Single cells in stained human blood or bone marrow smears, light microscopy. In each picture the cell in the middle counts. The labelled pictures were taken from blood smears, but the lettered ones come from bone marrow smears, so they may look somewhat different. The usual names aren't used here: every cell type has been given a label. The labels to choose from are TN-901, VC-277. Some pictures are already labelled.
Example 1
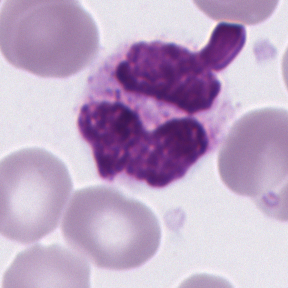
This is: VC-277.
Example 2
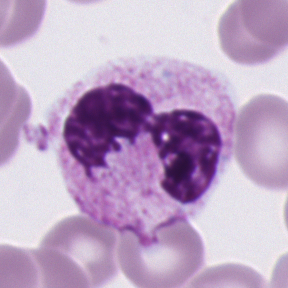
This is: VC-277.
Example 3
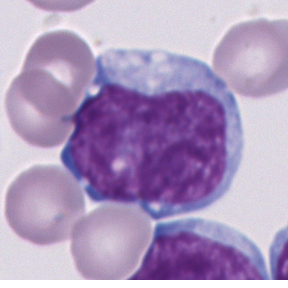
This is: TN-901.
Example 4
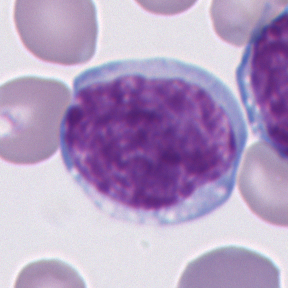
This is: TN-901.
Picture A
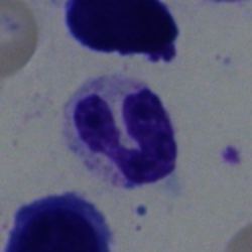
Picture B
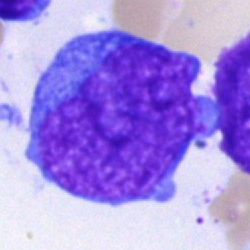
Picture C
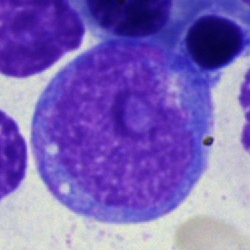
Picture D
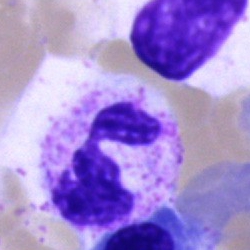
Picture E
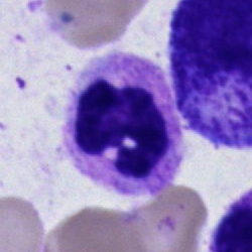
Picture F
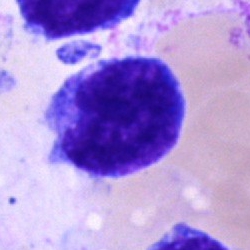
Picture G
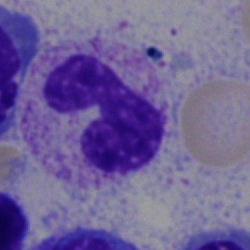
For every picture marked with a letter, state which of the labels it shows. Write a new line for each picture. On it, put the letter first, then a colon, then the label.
A: VC-277.
B: TN-901.
C: TN-901.
D: VC-277.
E: VC-277.
F: TN-901.
G: VC-277.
